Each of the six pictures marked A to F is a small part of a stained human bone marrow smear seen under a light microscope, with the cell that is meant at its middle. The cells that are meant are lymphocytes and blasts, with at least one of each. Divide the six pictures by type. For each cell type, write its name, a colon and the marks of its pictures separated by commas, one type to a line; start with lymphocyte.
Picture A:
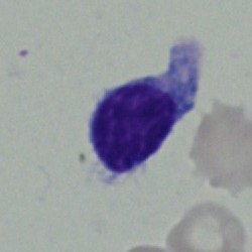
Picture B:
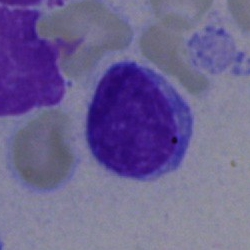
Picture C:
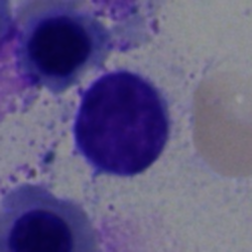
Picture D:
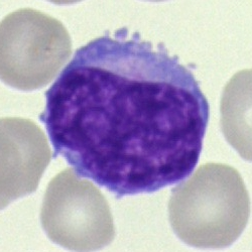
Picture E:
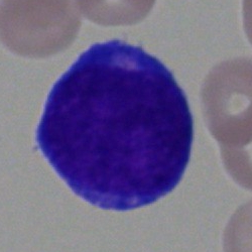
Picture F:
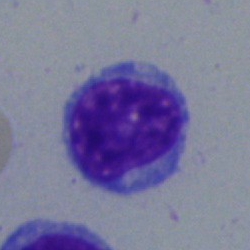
lymphocyte: A, B, C, F
blast: D, E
